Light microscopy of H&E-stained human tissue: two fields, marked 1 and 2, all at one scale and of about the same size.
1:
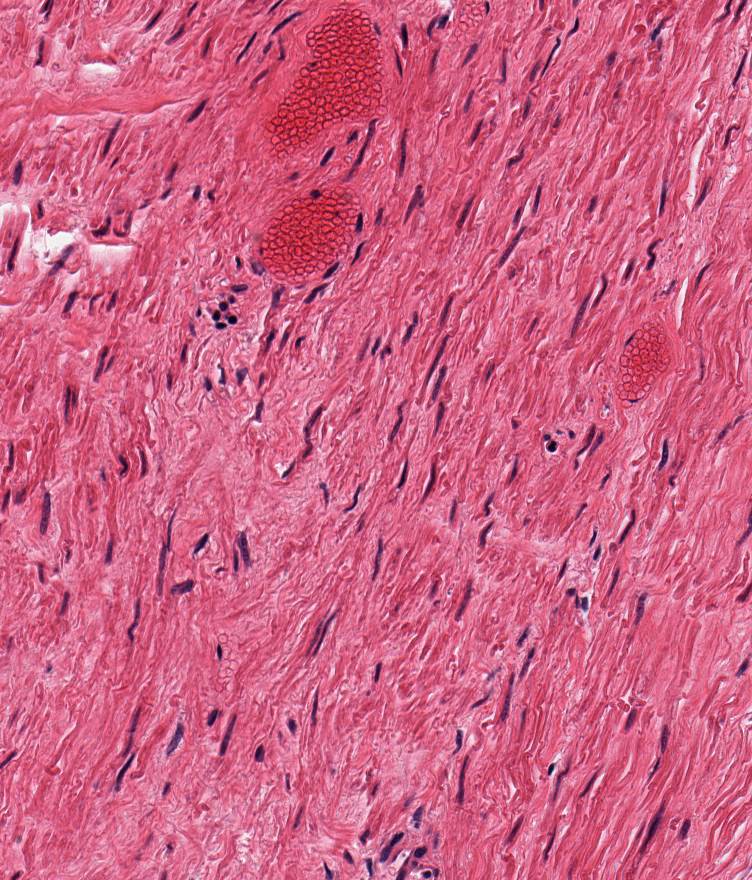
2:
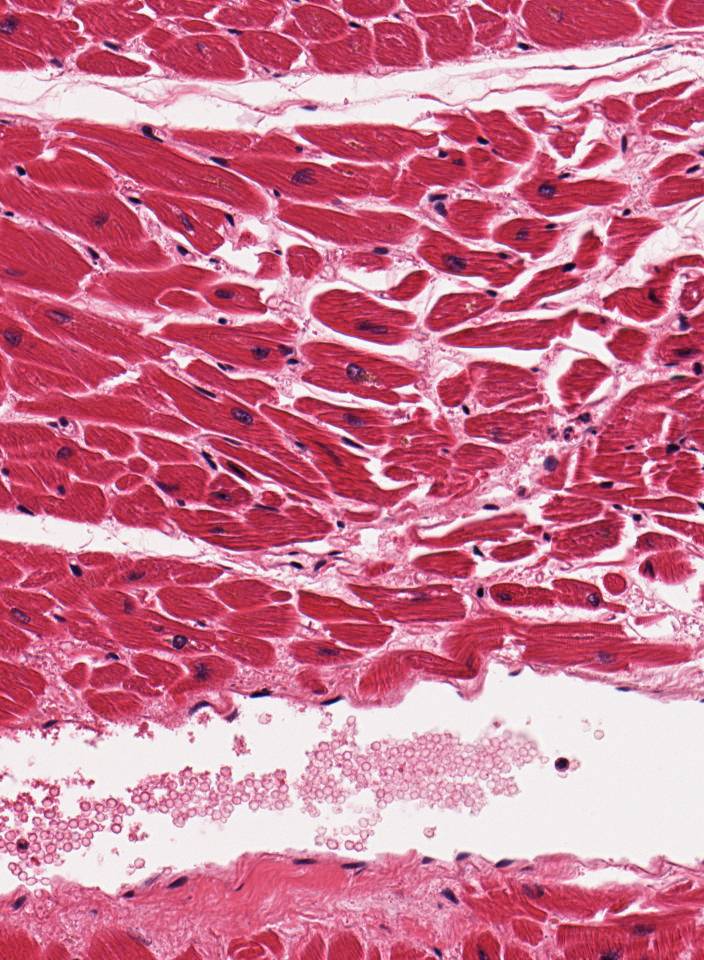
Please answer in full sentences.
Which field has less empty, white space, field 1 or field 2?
Less of field 1 is empty and white.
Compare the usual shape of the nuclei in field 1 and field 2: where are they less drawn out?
The nuclei are rounder in field 2.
